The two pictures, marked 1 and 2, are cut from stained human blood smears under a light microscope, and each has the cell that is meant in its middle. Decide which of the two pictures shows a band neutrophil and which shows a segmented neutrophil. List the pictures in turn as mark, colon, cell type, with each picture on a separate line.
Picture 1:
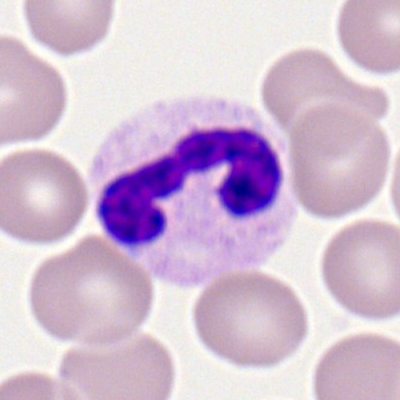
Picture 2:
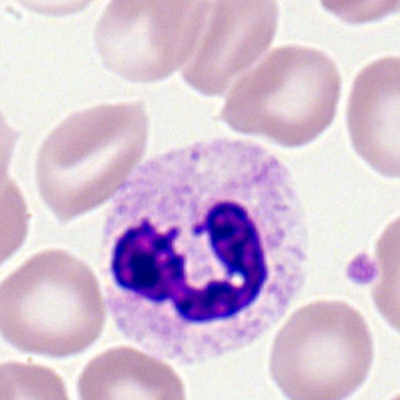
1: band neutrophil
2: segmented neutrophil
